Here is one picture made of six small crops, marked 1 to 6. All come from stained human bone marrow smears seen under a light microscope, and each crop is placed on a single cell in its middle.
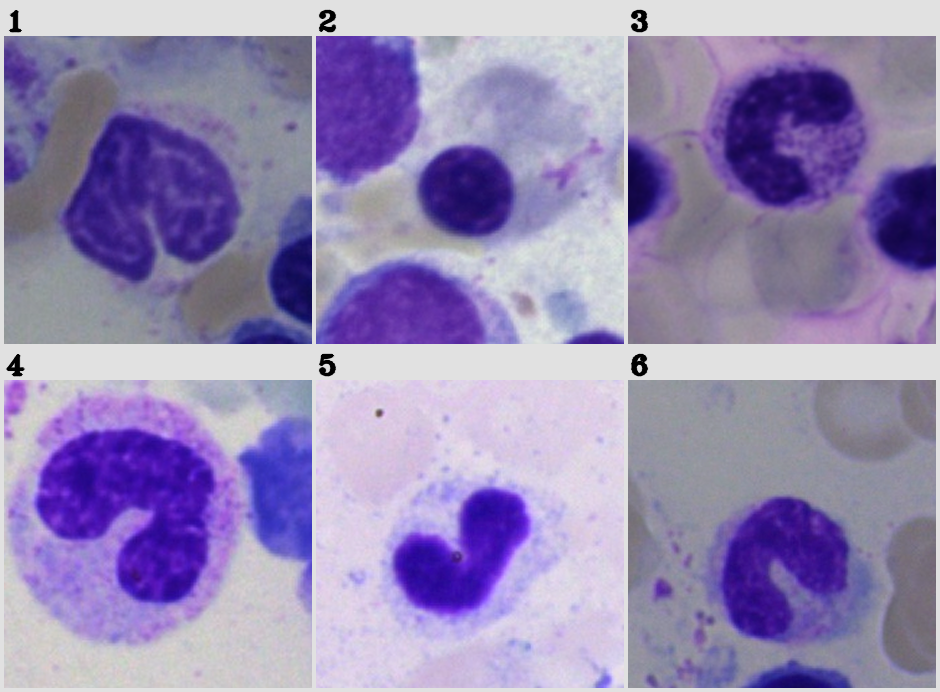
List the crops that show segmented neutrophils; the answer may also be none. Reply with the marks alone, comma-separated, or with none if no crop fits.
none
